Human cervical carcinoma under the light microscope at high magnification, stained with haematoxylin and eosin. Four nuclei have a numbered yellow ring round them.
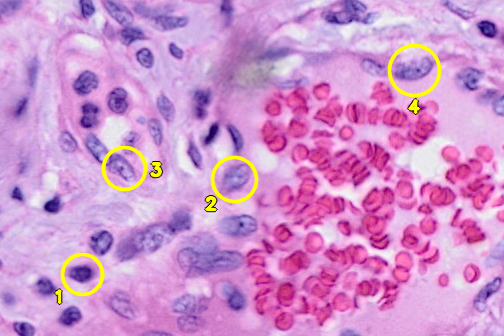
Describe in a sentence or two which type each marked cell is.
Cell 1 is a lymphocyte. Cells 2, 3 and 4 are endothelial cells.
